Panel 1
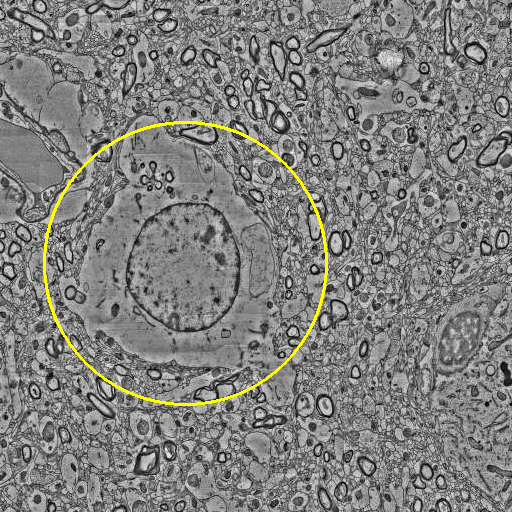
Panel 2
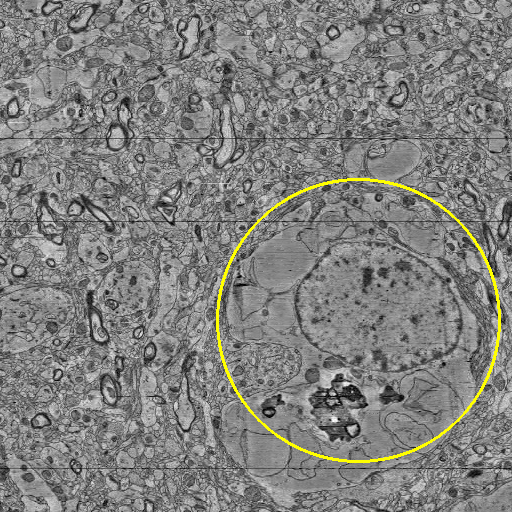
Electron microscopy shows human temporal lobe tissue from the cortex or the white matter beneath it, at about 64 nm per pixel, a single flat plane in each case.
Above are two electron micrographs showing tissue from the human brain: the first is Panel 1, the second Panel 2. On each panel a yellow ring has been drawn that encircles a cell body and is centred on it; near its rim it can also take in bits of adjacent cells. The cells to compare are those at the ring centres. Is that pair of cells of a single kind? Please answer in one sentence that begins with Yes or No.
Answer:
Yes, the ring-centred cells of Panel 1 and Panel 2 belong to one kind.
